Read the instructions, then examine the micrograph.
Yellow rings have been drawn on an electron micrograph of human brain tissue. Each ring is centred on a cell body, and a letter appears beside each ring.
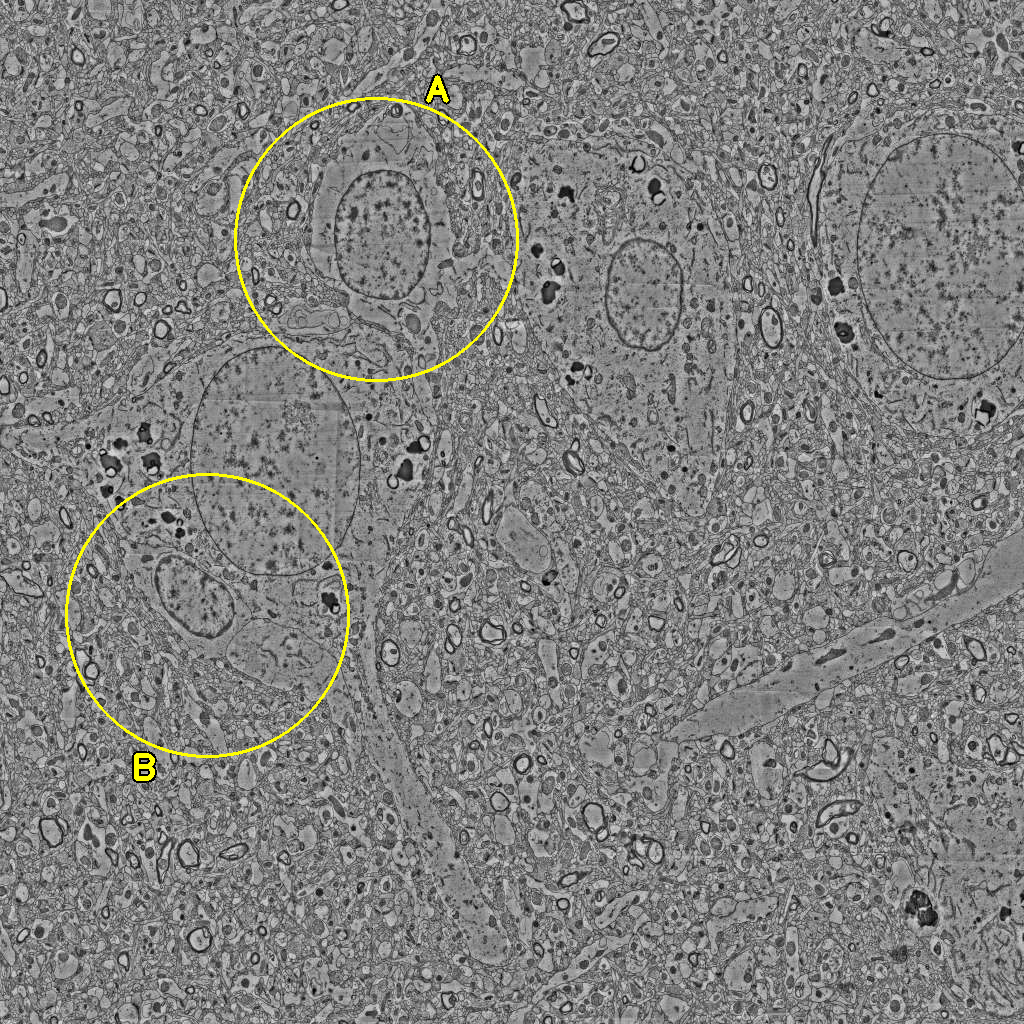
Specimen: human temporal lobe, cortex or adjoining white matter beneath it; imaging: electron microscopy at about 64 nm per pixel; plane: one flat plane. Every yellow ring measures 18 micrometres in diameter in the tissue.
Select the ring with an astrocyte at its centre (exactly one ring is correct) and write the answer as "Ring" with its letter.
Ring A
